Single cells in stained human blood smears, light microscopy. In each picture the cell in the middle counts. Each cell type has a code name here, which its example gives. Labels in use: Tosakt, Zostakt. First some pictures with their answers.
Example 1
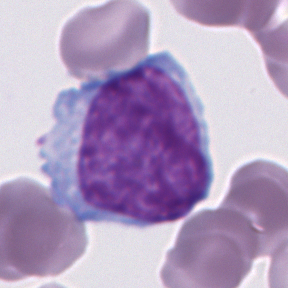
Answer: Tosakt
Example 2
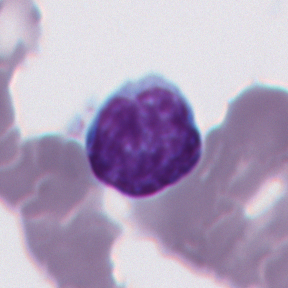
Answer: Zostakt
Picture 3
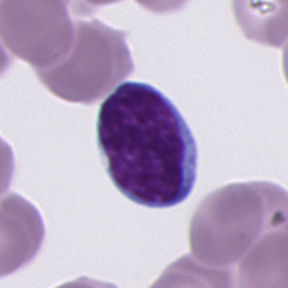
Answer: Zostakt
